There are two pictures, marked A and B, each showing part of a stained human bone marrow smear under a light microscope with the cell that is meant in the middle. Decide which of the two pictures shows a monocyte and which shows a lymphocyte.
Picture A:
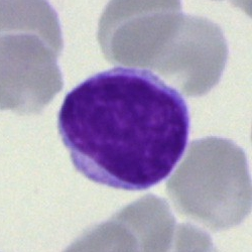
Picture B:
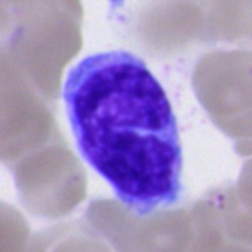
A: lymphocyte
B: monocyte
